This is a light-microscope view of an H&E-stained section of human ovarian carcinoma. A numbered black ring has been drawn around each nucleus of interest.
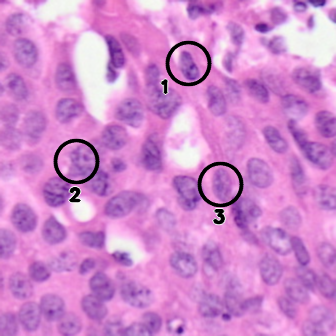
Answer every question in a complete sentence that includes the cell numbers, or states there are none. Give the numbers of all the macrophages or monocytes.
Only the cell marked 1 is a macrophage or monocyte.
